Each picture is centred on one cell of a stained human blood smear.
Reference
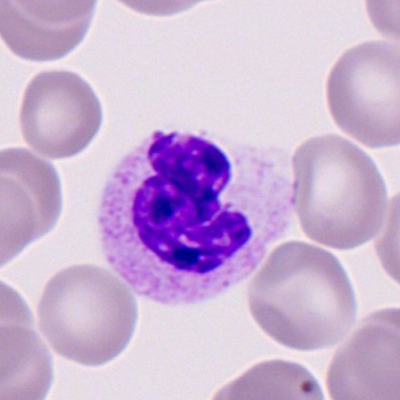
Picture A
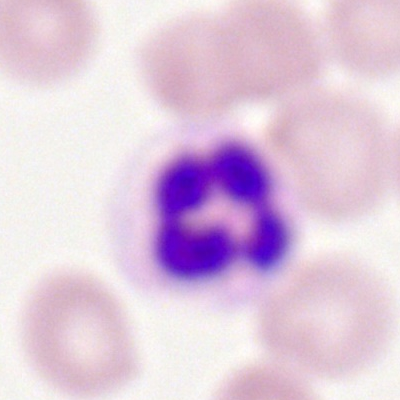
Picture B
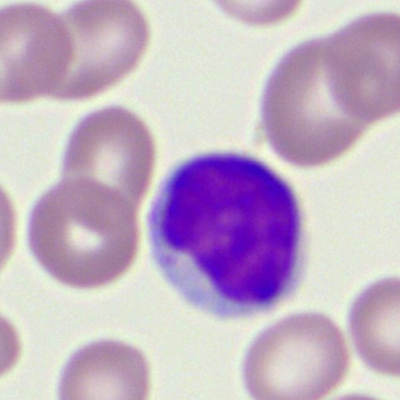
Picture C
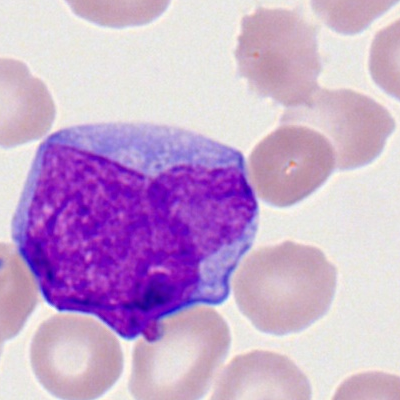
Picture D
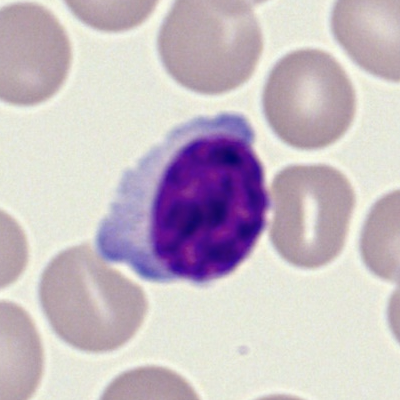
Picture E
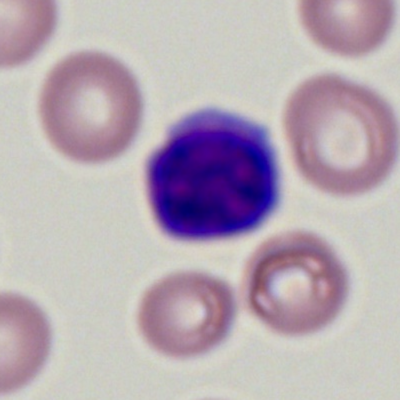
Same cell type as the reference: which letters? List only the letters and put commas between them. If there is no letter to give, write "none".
A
